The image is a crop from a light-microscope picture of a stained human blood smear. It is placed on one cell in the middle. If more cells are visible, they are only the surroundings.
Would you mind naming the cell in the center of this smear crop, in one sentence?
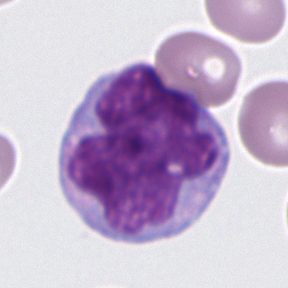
The central element of this crop is a cell, namely an atypical promyelocyte.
